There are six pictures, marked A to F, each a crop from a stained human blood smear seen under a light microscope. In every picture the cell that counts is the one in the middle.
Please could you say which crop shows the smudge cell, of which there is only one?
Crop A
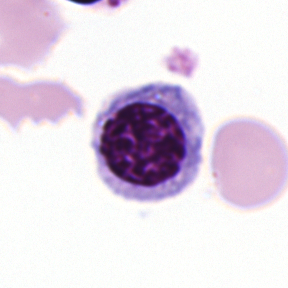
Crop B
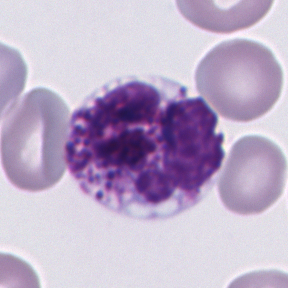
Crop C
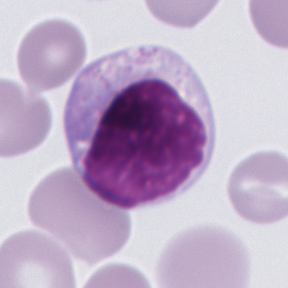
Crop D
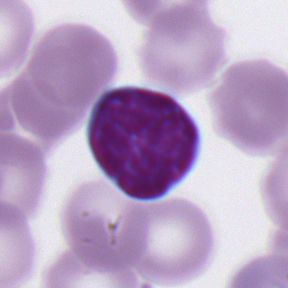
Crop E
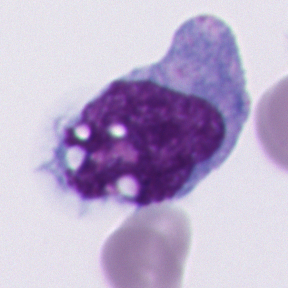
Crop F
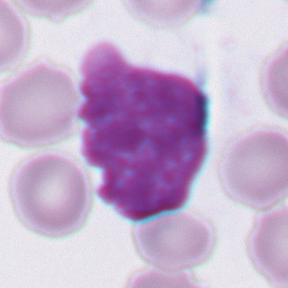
F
